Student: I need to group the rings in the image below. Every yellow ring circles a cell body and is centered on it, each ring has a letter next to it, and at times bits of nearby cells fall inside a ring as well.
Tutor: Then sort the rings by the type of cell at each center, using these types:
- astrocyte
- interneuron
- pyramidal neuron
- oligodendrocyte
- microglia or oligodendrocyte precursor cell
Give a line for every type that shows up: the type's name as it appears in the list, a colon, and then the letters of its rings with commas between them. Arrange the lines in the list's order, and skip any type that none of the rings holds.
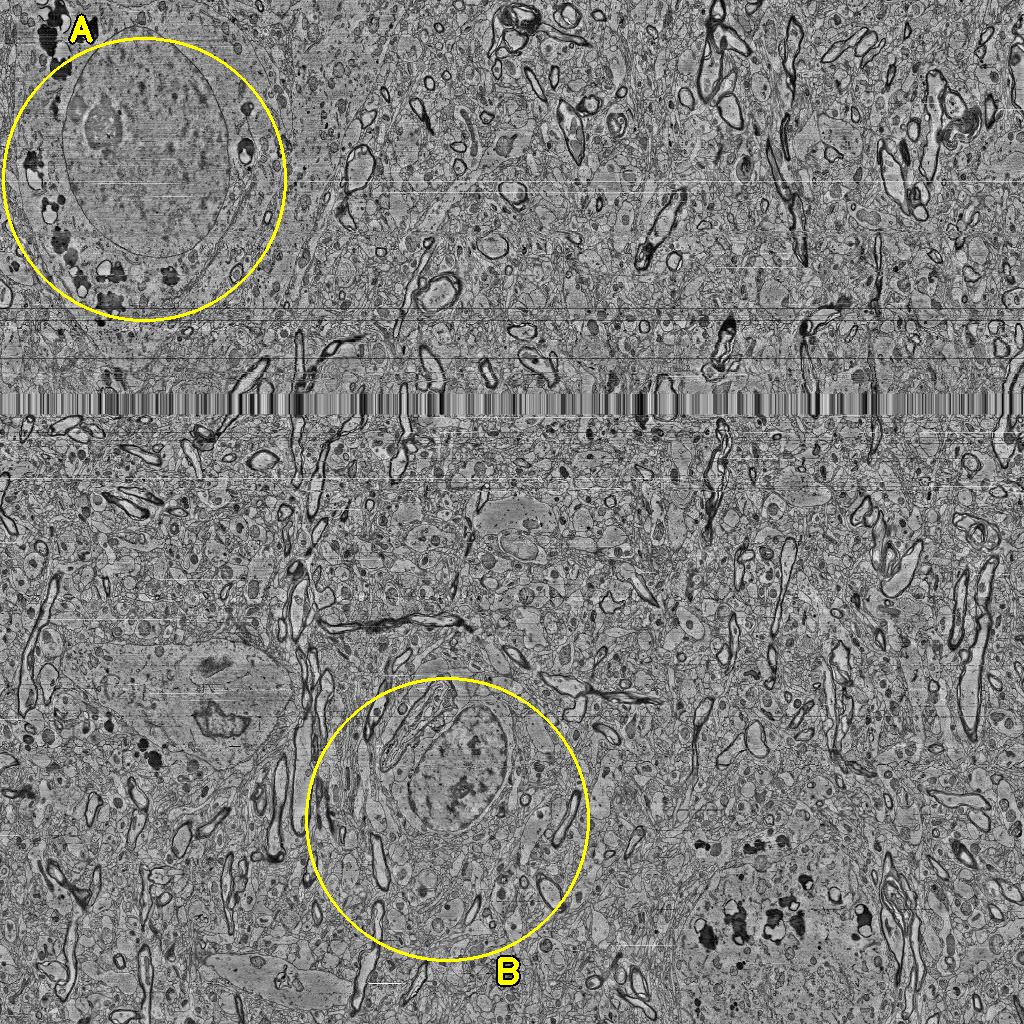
pyramidal neuron: A
microglia or oligodendrocyte precursor cell: B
